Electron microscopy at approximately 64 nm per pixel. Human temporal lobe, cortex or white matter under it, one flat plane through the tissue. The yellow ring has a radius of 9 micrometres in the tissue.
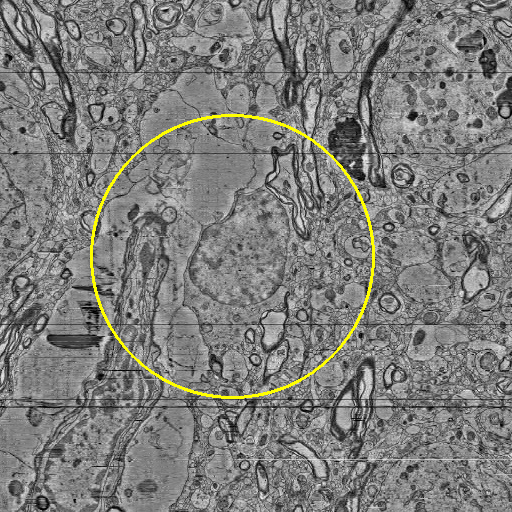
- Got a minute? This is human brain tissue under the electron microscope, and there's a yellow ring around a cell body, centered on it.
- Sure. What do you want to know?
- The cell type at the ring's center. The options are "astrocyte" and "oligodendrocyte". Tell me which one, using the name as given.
oligodendrocyte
